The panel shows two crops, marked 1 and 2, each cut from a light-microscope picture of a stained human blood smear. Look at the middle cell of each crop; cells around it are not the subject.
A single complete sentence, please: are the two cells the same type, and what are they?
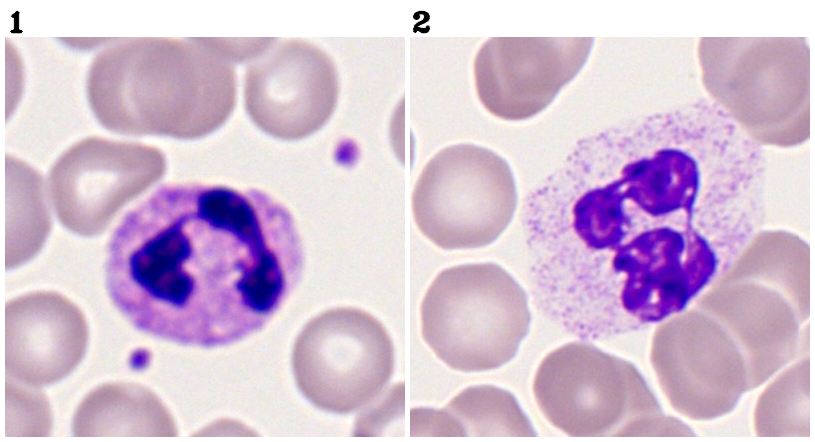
Yes, in both of the crops, the central cells are neutrophils.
